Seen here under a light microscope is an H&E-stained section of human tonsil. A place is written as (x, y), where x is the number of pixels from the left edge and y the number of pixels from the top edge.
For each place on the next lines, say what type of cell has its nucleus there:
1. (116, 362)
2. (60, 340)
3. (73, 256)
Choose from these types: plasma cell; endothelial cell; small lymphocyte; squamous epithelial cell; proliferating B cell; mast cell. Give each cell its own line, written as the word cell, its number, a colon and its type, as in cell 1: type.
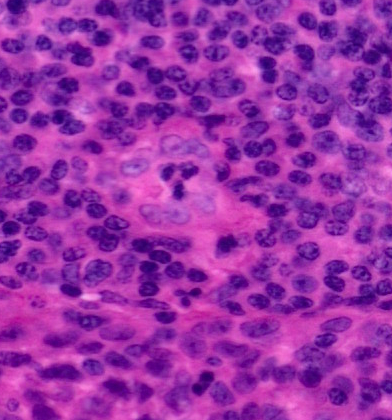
cell 1: squamous epithelial cell
cell 2: squamous epithelial cell
cell 3: plasma cell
